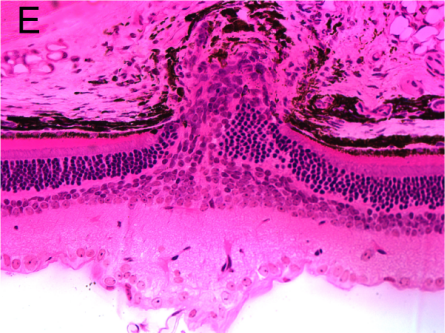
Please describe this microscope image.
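The densely packed dark purple nuclear layer and the black pigmented layer curve around but do not open into an exit; instead a small knot of crowded cells with dark nuclei bulges into the pigmented layer. The inner side of the retina is a thick pale pink fibre layer with few nuclei, and no fibre bundle can be followed out through the eye wall.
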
